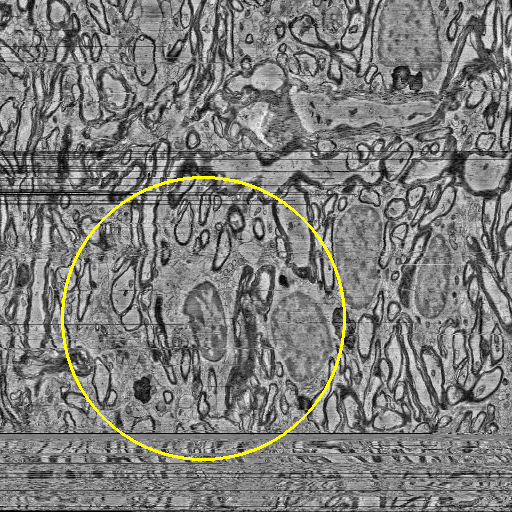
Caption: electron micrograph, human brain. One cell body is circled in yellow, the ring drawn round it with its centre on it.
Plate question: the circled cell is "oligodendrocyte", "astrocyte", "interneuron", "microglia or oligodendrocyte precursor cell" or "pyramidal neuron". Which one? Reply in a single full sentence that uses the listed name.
The yellow ring on the plate is centred on a microglial cell or oligodendrocyte precursor cell, going by the listed names.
